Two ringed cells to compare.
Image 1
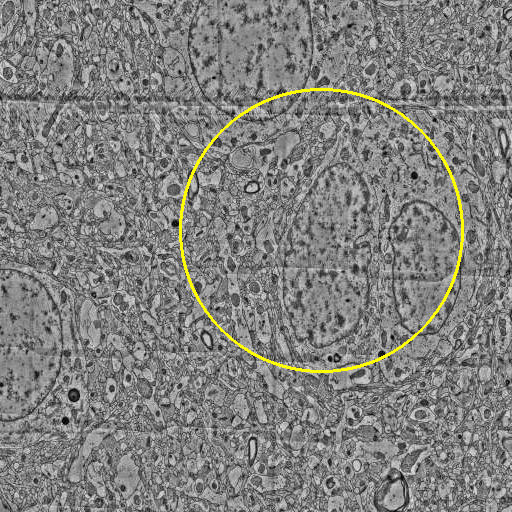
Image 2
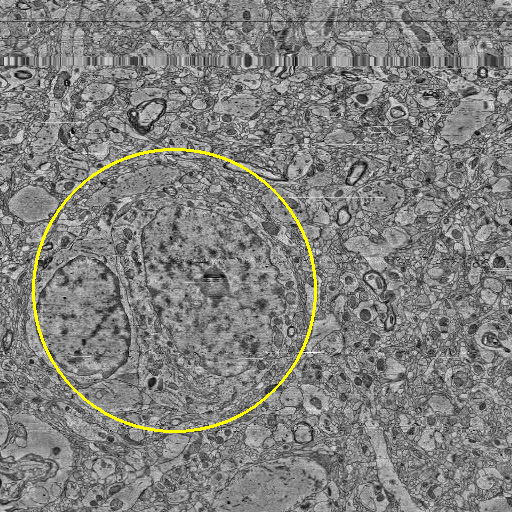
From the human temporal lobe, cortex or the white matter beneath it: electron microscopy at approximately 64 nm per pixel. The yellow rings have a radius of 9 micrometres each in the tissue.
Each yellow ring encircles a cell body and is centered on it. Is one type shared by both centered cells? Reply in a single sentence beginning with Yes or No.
Yes, a single type is shared by the two cells at the centers of the rings.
